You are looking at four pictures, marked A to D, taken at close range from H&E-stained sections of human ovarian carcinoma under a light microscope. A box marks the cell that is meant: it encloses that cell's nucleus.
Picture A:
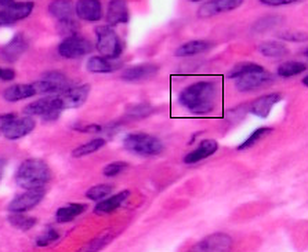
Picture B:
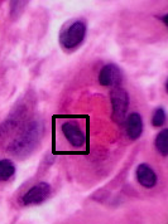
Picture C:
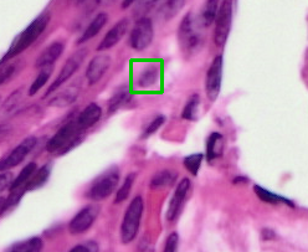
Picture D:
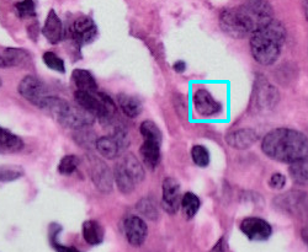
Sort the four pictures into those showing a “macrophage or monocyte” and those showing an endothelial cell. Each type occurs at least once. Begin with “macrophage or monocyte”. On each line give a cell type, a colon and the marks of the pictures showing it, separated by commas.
macrophage or monocyte: A, C, D
endothelial cell: B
